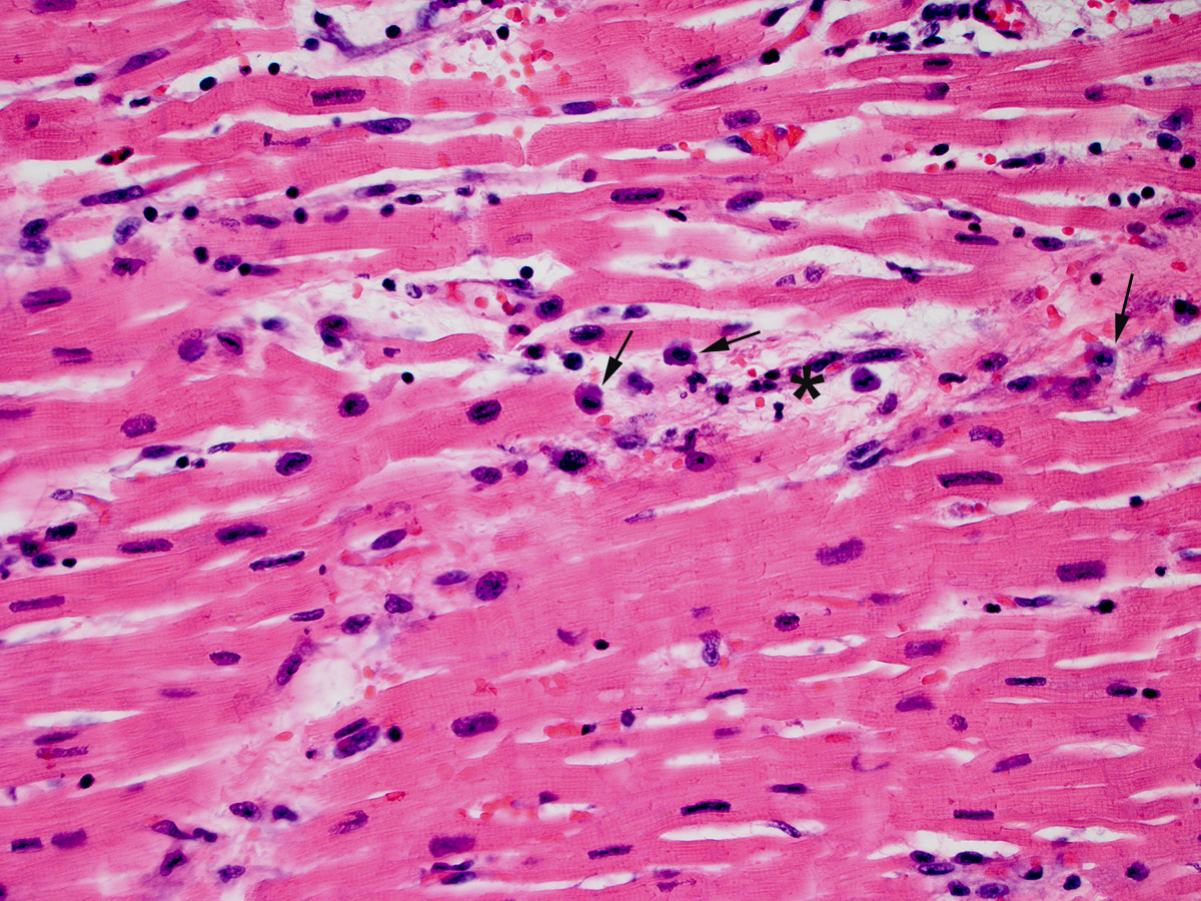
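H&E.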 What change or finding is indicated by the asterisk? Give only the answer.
Necrotic myocyte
